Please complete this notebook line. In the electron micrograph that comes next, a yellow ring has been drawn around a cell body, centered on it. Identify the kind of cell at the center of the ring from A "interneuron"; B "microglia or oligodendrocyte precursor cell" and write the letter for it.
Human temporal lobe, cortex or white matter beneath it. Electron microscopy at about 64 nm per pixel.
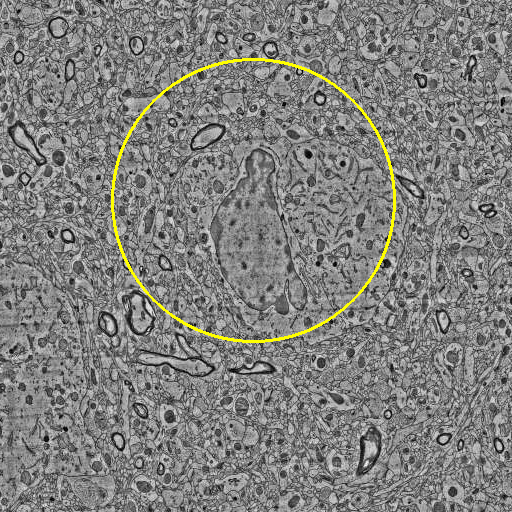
B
